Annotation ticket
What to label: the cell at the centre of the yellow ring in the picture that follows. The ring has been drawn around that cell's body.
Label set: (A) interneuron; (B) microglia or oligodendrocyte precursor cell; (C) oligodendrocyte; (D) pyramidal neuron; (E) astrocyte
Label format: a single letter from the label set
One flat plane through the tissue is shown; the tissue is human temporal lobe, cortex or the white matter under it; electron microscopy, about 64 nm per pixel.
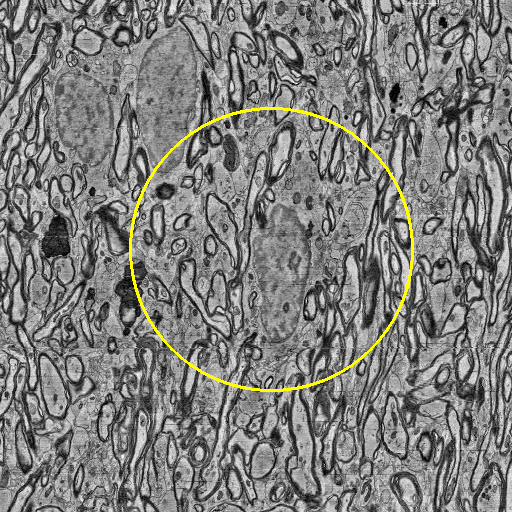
C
